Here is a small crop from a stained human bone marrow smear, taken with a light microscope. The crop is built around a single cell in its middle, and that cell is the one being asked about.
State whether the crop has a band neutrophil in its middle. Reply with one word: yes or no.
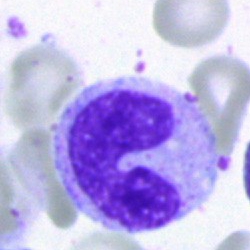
yes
